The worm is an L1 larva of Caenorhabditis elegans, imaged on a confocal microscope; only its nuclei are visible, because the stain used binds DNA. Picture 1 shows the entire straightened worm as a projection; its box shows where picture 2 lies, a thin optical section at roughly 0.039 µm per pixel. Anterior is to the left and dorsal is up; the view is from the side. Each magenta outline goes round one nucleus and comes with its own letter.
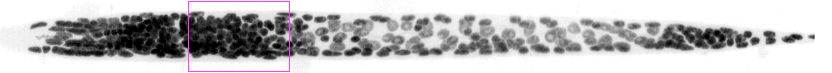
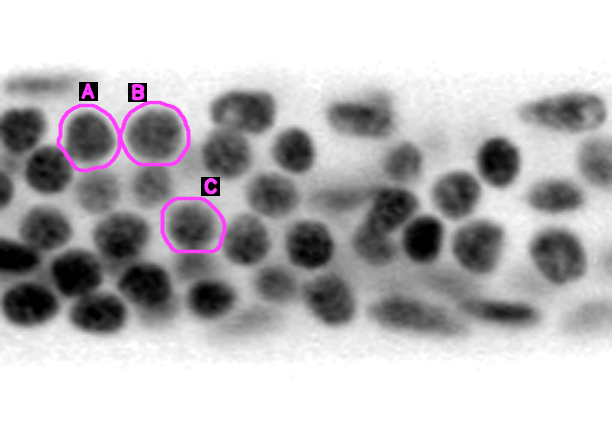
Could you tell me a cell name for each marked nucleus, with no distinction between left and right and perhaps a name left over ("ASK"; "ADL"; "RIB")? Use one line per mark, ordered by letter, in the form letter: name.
A: ASK
B: ADL
C: RIB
